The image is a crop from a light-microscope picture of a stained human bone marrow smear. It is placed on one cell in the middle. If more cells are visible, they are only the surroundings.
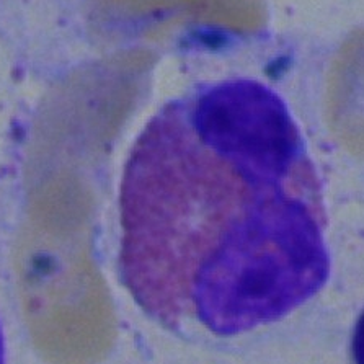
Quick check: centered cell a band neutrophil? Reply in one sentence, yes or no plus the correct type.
No, the one in the center is not a band neutrophil; it is an eosinophil.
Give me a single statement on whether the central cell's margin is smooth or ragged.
The border of this cell runs smooth and free of any projections.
